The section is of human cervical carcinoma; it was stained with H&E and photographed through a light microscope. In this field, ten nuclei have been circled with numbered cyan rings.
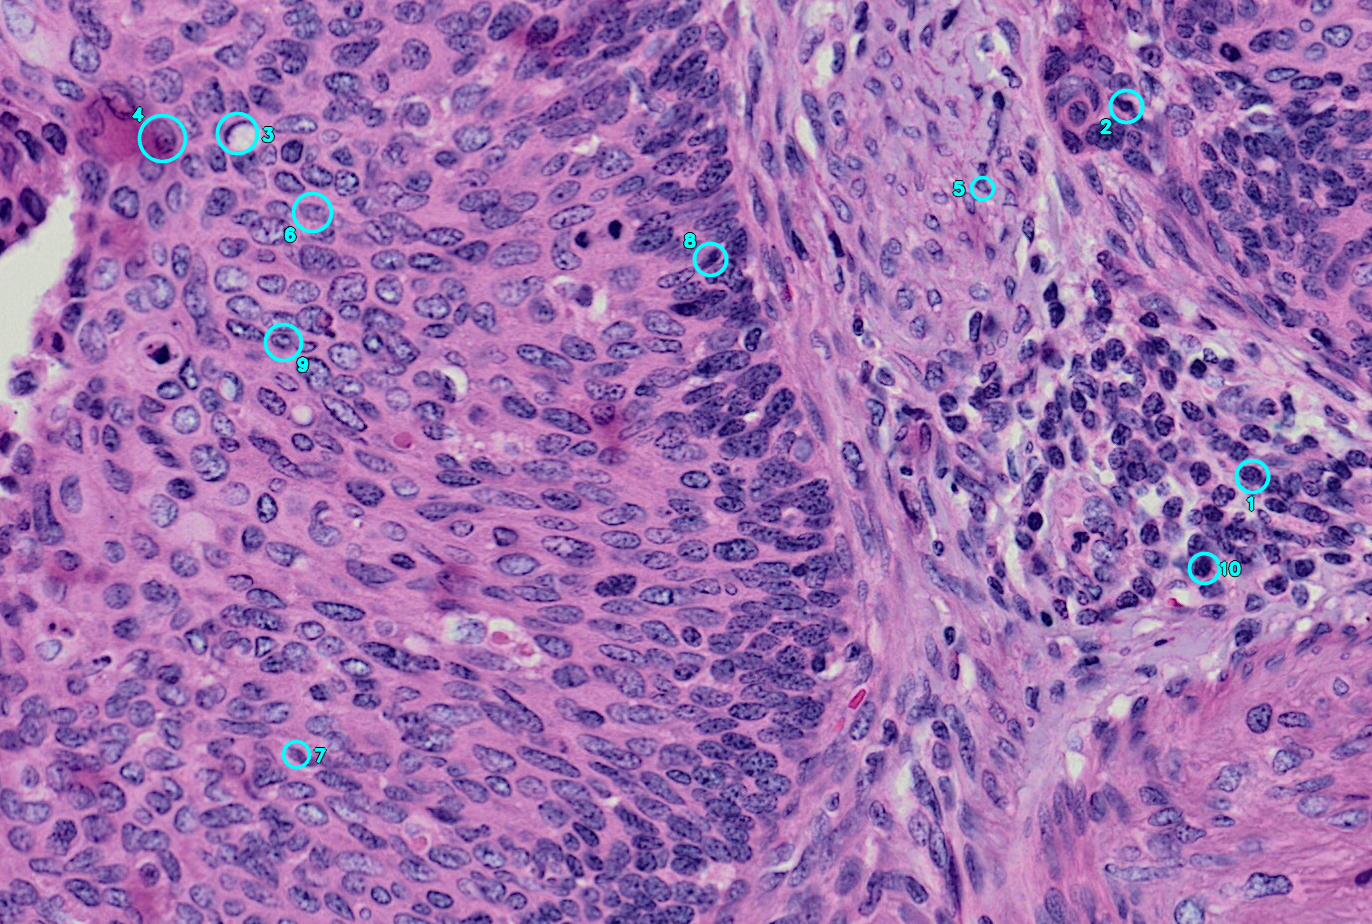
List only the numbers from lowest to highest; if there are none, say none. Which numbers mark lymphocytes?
1, 2, 10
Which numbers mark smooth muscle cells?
5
